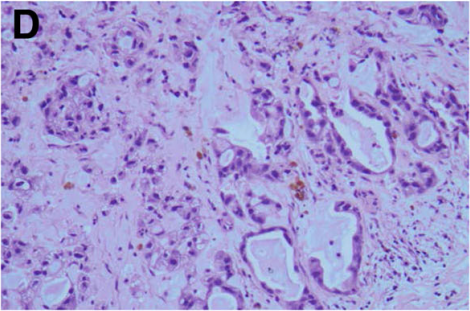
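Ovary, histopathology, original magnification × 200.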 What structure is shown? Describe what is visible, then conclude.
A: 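Numerous small irregular glands with open lumens lie close together in pale stroma. The gland-lining cells have enlarged, irregular nuclei. So: crowded small neoplastic glands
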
